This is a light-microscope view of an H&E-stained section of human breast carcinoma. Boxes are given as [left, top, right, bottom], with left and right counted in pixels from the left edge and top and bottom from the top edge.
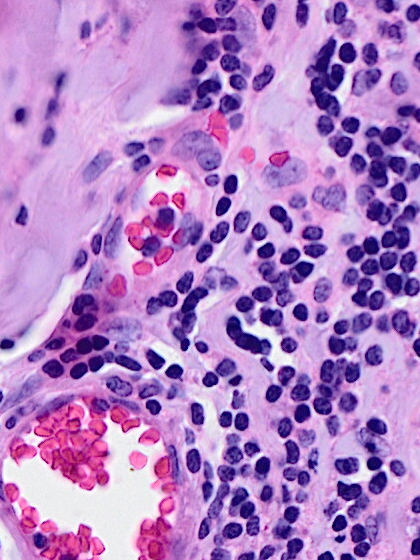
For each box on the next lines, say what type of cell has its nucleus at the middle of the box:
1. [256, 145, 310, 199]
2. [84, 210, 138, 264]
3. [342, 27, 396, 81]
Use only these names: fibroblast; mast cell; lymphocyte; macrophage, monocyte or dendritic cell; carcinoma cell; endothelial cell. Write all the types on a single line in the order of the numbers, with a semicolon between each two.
endothelial cell; endothelial cell; lymphocyte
